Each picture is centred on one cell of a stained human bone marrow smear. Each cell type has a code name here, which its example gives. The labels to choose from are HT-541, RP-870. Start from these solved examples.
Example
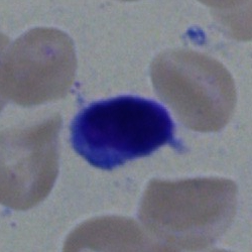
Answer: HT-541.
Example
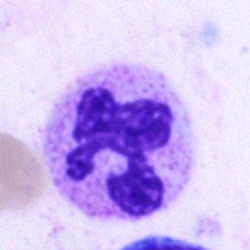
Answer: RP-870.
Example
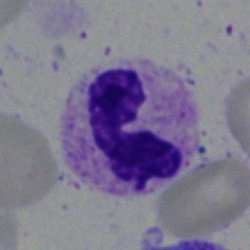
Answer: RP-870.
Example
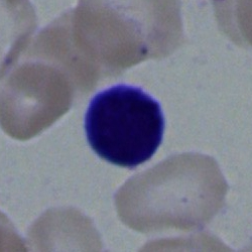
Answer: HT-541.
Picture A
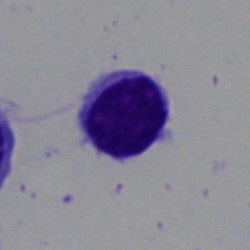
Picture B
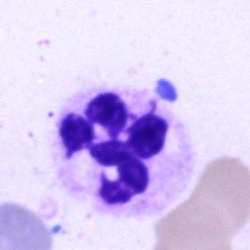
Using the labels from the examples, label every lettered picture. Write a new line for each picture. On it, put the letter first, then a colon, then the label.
A: HT-541.
B: RP-870.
